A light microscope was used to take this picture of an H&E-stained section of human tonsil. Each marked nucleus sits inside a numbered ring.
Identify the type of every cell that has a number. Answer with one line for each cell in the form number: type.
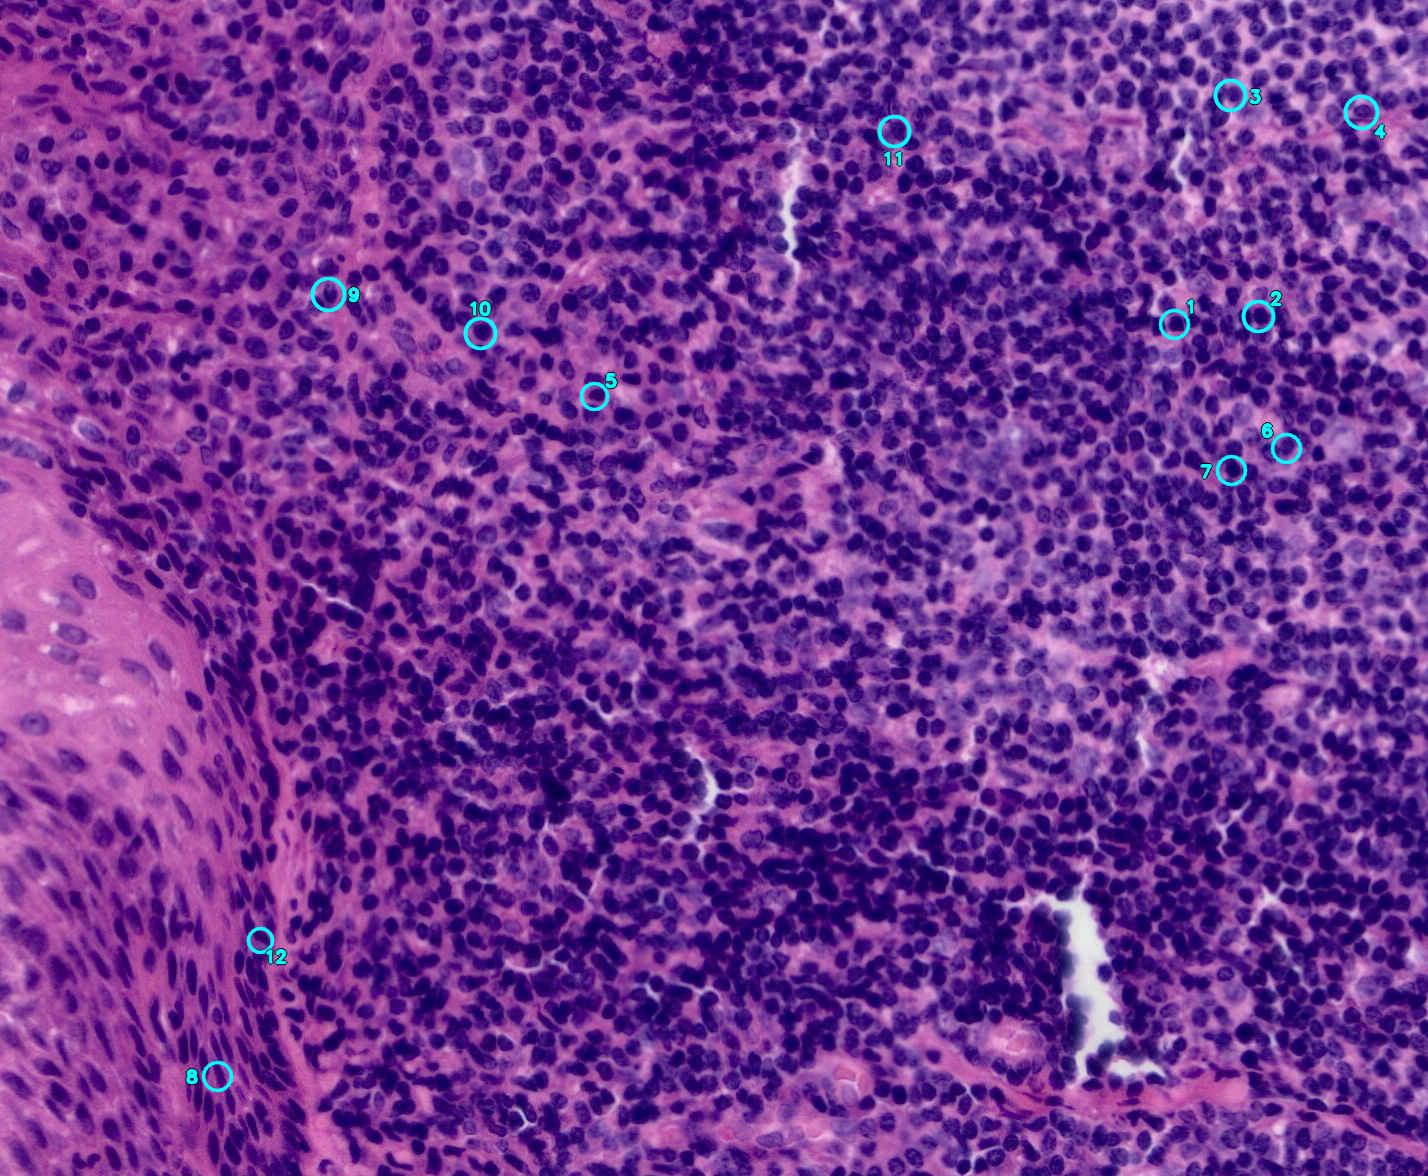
1: small lymphocyte
2: small lymphocyte
3: small lymphocyte
4: small lymphocyte
5: plasma cell
6: small lymphocyte
7: small lymphocyte
8: squamous epithelial cell
9: plasma cell
10: plasma cell
11: small lymphocyte
12: squamous epithelial cell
